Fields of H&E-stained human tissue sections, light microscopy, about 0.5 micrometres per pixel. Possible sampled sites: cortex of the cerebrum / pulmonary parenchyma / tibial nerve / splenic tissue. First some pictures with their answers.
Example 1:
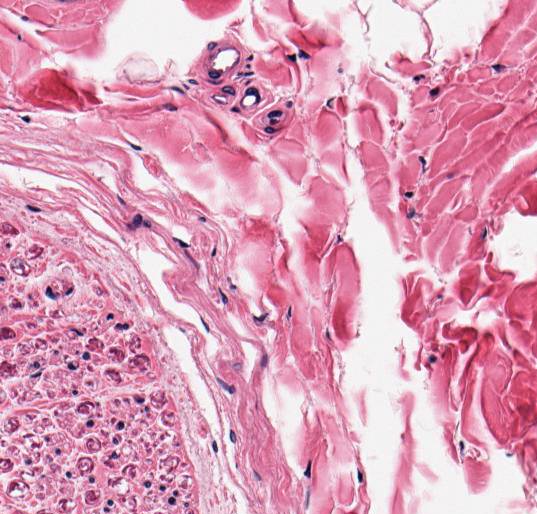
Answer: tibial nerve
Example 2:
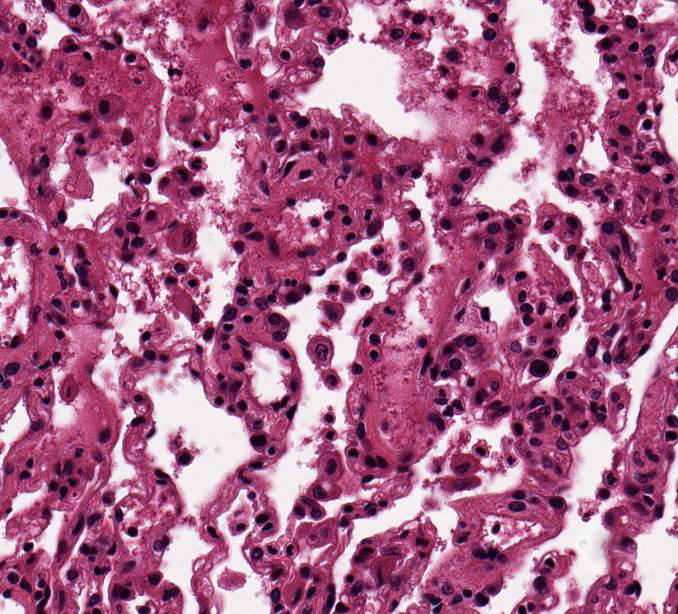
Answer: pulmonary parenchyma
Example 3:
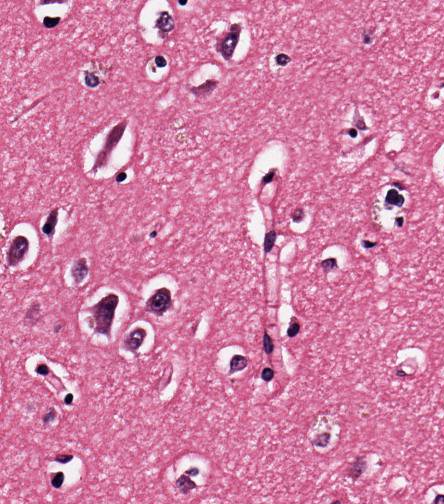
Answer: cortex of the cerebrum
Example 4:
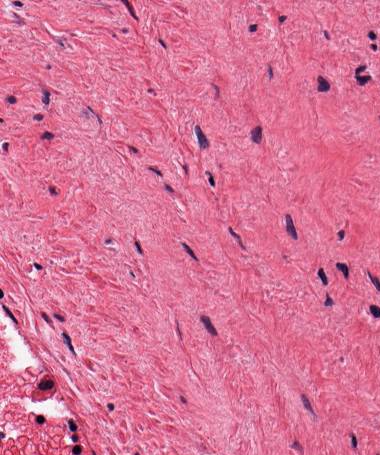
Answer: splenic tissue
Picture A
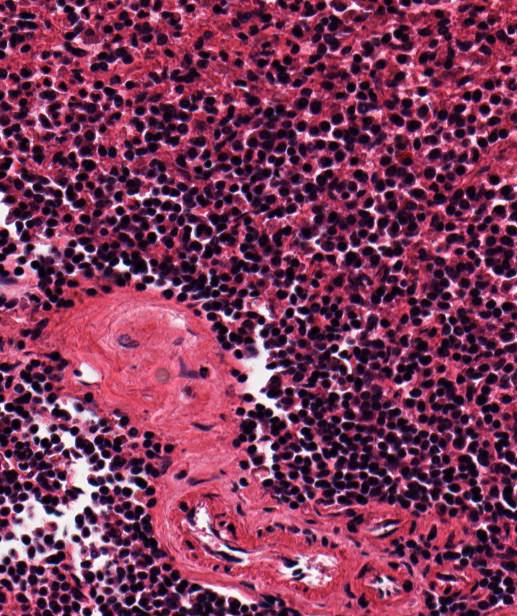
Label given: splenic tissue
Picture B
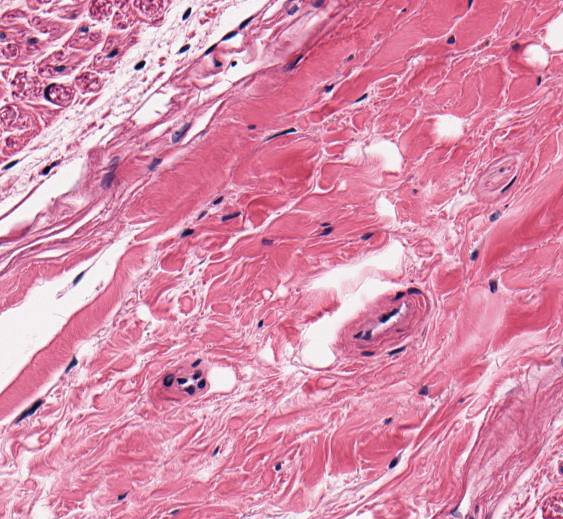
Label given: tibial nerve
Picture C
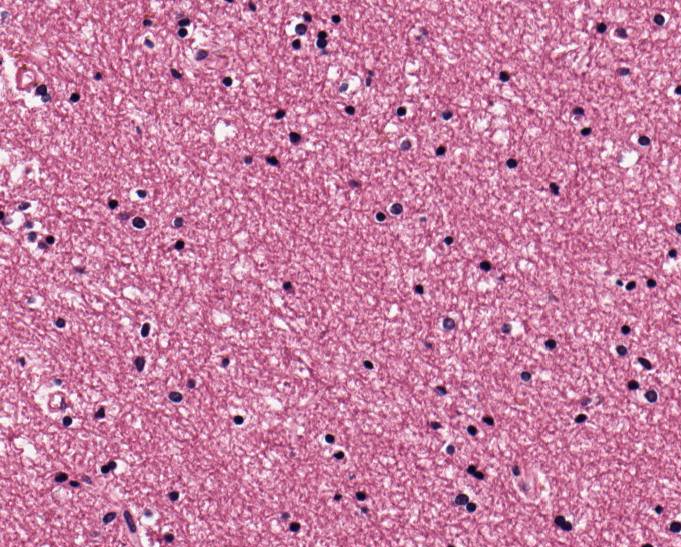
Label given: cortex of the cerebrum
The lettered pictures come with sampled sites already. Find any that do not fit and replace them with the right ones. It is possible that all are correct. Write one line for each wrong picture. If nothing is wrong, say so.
No label is wrong.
